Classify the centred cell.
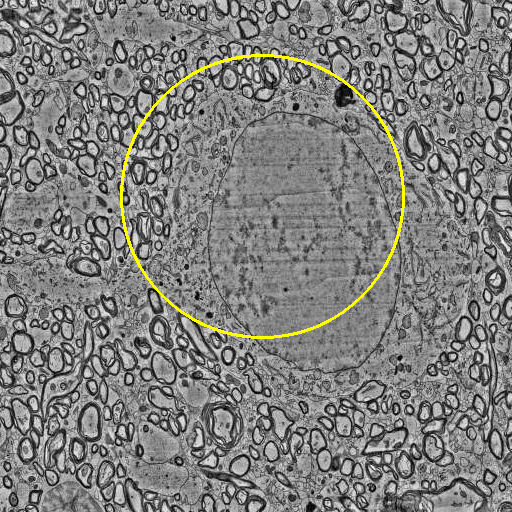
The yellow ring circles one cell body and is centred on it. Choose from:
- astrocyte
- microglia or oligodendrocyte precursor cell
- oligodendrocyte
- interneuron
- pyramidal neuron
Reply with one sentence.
The ring is centred on a pyramidal neuron.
